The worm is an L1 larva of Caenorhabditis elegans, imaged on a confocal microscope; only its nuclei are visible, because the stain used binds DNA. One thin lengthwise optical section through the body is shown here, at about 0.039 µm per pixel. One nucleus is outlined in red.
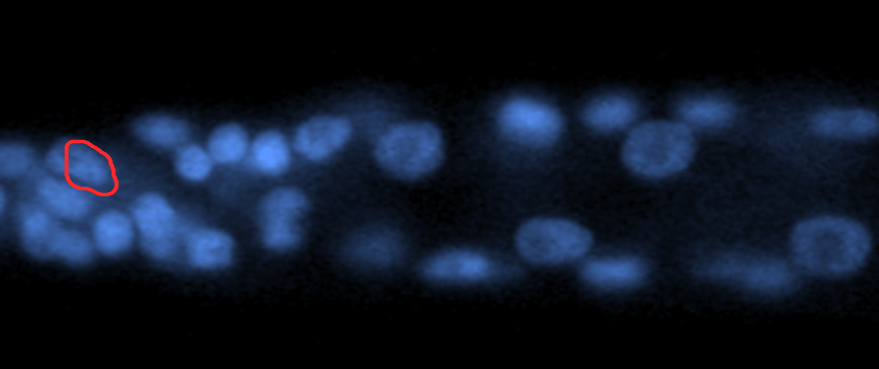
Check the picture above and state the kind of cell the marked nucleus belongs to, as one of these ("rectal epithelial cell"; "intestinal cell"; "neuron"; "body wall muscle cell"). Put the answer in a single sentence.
The marked cell is a rectal epithelial cell.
